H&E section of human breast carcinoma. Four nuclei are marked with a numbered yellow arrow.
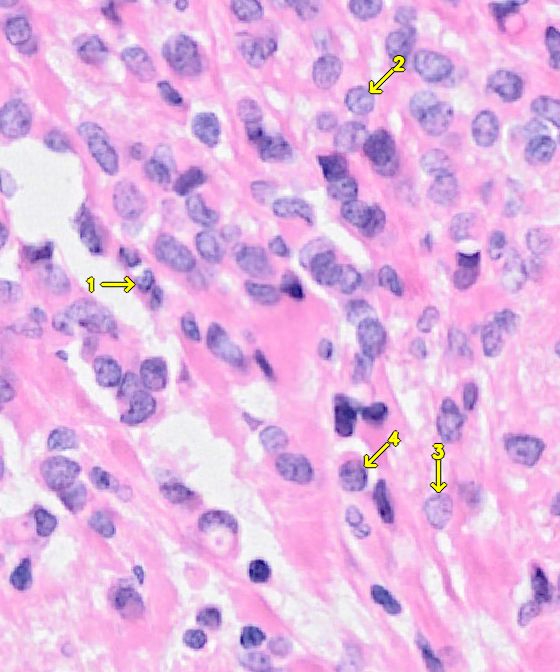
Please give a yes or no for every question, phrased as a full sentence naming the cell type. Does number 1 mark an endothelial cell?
Yes, and to answer plainly, cell 1 is an endothelial cell.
